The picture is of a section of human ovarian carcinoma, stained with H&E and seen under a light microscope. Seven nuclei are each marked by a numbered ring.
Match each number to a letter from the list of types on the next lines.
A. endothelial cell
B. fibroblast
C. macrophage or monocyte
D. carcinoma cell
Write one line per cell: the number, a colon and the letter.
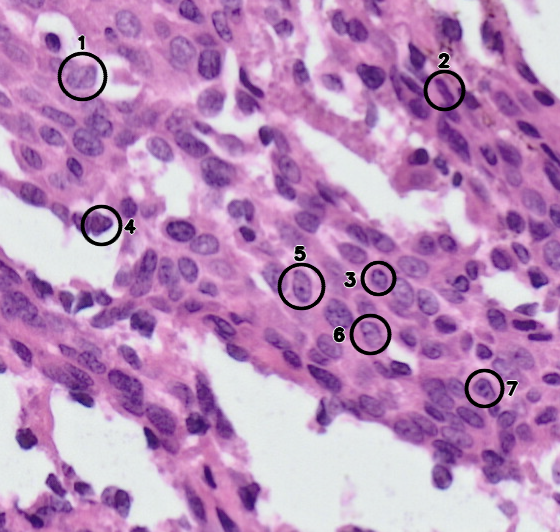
1: D
2: D
3: C
4: D
5: C
6: D
7: C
